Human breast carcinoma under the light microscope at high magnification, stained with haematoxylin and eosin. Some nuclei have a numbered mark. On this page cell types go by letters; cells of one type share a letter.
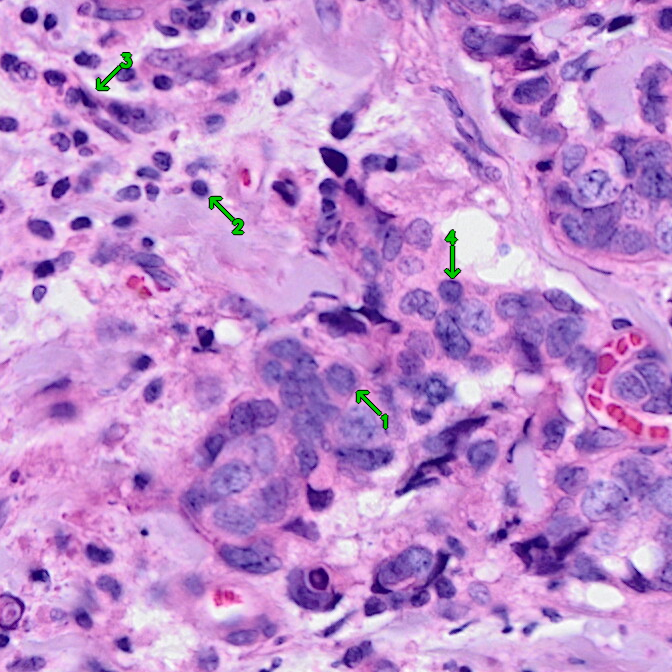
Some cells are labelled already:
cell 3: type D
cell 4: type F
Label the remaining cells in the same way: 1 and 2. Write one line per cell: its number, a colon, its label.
1: type F
2: type D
